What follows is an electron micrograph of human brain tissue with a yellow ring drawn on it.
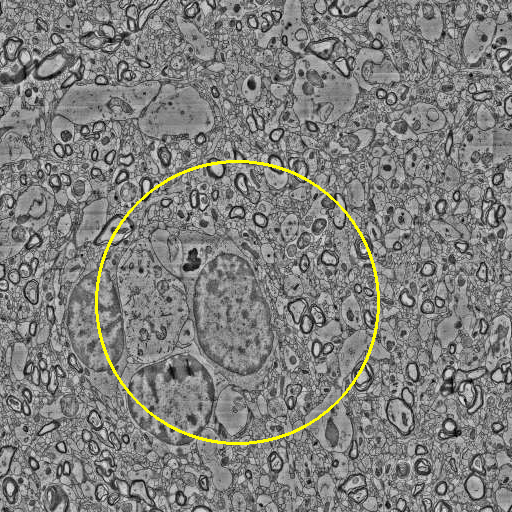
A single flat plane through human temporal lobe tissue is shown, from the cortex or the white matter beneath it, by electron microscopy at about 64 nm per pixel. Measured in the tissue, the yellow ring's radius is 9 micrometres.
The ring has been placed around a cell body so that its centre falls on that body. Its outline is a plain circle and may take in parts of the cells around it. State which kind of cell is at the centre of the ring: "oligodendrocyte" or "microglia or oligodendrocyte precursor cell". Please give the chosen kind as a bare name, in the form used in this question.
oligodendrocyte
